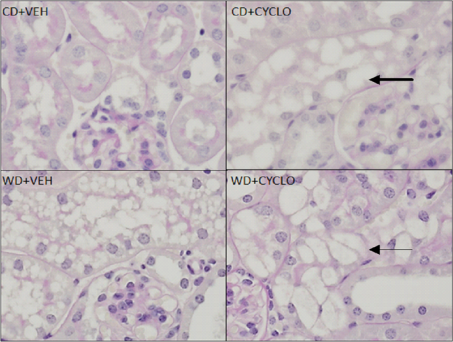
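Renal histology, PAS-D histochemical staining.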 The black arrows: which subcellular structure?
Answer: Vacuoles.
